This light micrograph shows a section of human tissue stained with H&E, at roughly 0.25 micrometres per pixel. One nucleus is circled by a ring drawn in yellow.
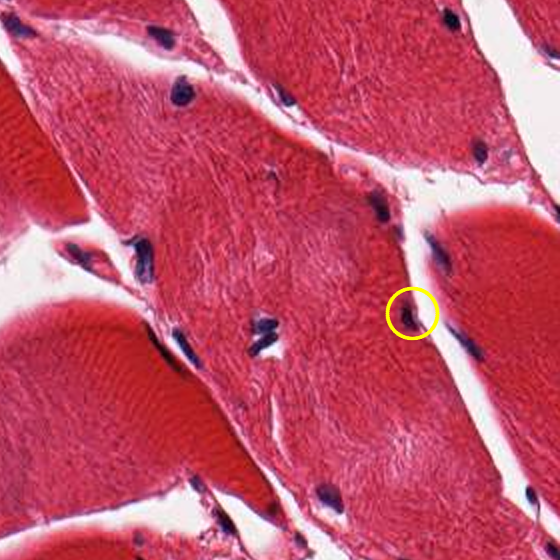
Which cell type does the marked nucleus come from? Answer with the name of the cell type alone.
skeletal muscle fibre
